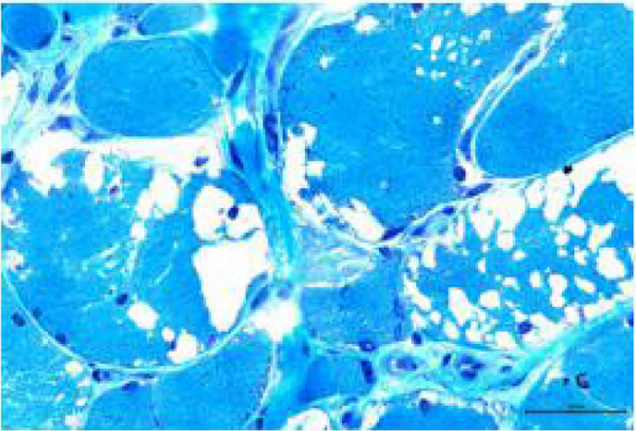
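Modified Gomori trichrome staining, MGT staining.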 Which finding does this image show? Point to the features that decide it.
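Blue-green fibers contain many clear white holes of varying size. Several fibers are filled with clusters of these empty spaces. The answer: vacuoles.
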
